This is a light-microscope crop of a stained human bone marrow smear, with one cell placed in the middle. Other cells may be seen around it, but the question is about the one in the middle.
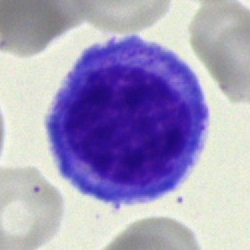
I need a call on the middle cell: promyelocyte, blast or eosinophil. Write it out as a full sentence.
In the middle of this smear crop is a promyelocyte.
